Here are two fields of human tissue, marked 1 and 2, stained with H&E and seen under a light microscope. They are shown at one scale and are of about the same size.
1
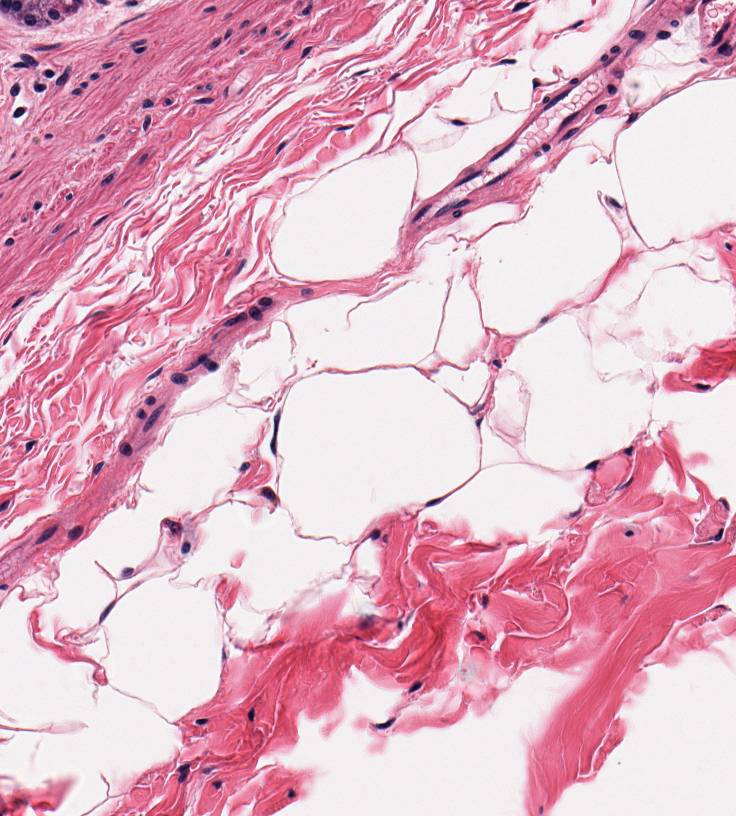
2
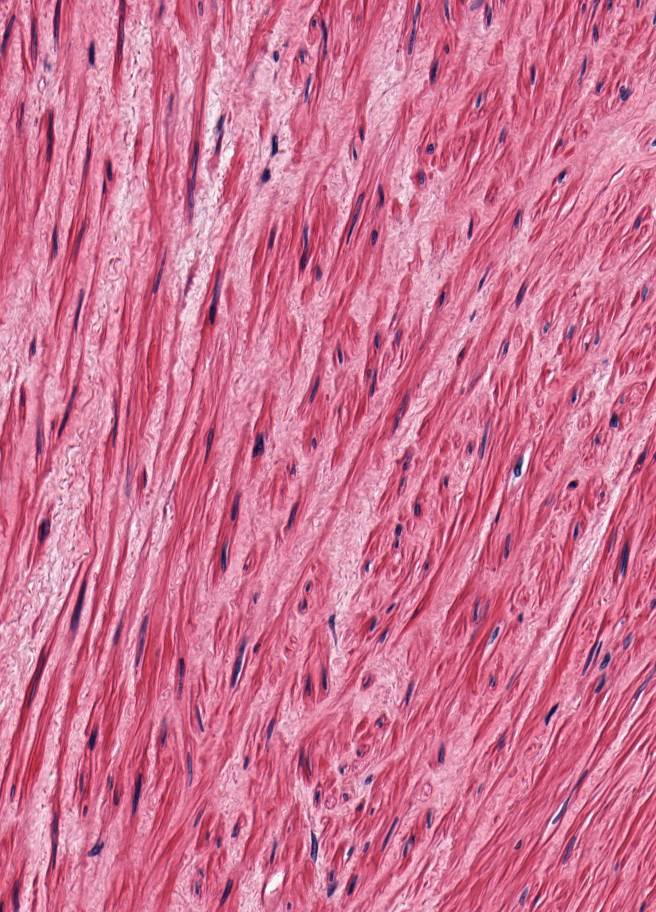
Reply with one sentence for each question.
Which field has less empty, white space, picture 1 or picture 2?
Picture 2 has less white space.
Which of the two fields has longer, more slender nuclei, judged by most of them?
It is picture 2 whose nuclei are the more elongated.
